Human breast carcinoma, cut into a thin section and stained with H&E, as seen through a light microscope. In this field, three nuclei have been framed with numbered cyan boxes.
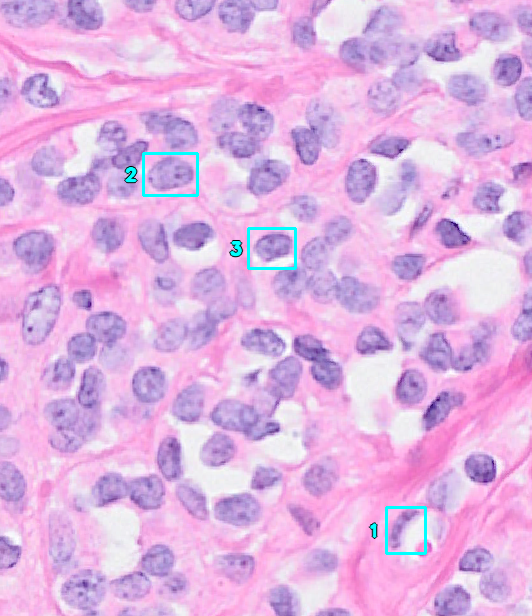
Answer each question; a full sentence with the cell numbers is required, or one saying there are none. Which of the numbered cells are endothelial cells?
Only the cell numbered 1 is an endothelial cell; none of the others is.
